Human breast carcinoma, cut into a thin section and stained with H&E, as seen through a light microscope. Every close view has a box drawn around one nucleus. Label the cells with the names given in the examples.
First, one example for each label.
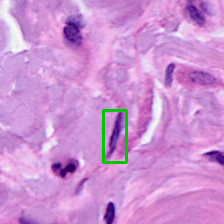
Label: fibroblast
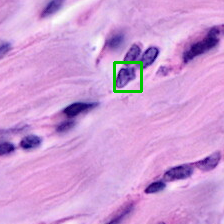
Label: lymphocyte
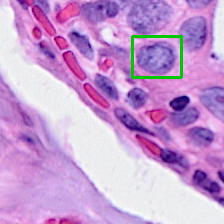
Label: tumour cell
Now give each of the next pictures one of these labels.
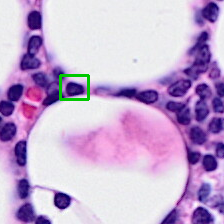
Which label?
lymphocyte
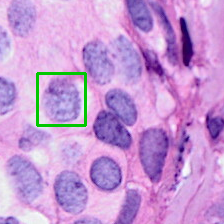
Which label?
tumour cell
